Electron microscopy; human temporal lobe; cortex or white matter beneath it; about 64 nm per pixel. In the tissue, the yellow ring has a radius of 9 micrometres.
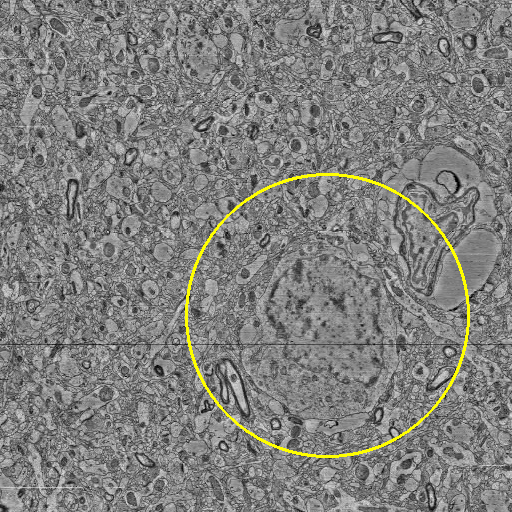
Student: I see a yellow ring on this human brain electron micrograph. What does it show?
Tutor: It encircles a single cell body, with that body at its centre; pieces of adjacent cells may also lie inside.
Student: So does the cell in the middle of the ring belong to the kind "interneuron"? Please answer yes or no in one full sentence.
Yes, the cell in the middle of that yellow ring belongs to this kind.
